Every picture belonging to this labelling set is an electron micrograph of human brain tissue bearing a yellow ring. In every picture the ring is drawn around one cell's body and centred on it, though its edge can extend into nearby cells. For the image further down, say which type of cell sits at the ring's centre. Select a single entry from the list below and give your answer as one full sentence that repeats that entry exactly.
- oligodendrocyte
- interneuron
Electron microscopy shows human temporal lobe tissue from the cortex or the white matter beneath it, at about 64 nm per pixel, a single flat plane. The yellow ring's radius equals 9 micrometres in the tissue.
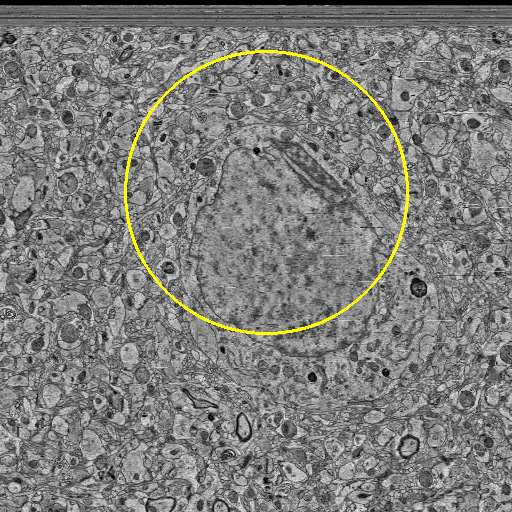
In the picture, an interneuron is the cell at the centre of the yellow ring.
